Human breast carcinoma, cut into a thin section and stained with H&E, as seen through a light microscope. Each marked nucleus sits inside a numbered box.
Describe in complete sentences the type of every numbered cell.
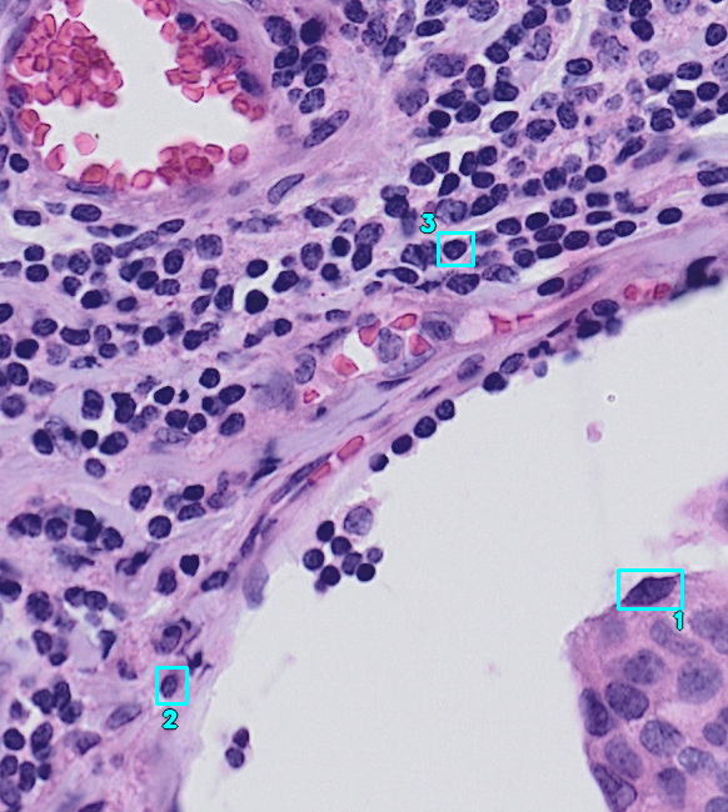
Cell 1 is a carcinoma cell, cell 2 is a mast cell and cell 3 is a lymphocyte.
